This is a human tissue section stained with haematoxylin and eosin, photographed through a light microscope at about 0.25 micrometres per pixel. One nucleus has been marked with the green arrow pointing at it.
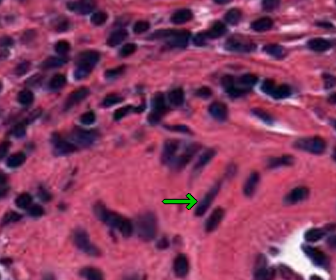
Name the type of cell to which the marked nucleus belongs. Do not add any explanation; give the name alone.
smooth muscle cell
